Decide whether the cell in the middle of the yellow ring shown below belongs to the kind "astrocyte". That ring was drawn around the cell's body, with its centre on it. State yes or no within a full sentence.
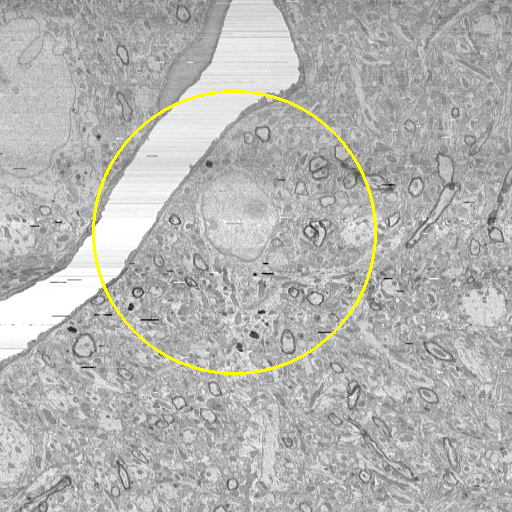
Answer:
Yes, the cell whose body lies at the ring's centre in the picture belongs to that kind.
